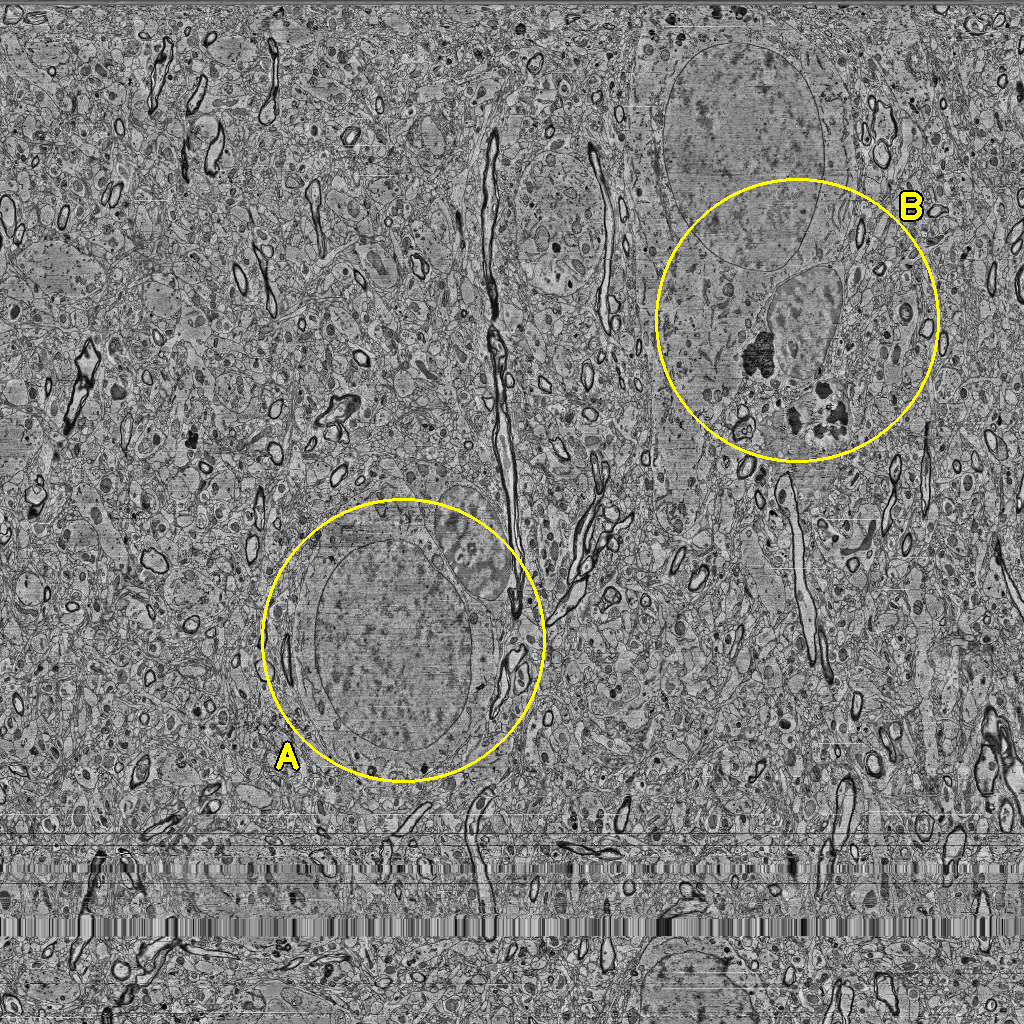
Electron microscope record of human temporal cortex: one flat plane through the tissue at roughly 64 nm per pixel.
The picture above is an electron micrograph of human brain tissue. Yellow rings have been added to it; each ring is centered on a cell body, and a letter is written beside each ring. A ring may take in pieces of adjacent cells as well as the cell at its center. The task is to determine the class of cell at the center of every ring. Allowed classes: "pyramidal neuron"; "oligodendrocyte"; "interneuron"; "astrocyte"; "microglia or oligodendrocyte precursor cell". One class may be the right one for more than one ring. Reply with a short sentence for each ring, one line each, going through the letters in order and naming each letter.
Ring A is centered on a pyramidal neuron.
Ring B is centered on an oligodendrocyte.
